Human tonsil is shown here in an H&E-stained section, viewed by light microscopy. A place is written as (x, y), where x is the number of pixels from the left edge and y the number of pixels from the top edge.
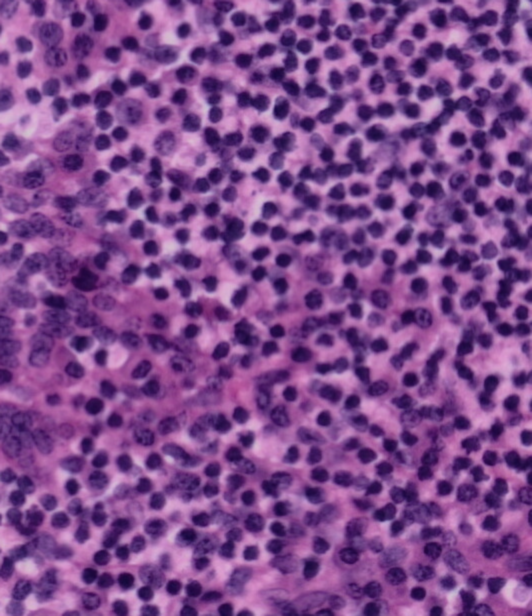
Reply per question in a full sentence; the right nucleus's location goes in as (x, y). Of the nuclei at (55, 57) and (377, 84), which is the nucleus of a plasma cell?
Rather than the other nucleus, the one at (55, 57) belongs to a plasma cell.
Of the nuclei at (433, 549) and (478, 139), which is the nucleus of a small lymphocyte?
Of the two nuclei, the one at (478, 139) belongs to a small lymphocyte.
